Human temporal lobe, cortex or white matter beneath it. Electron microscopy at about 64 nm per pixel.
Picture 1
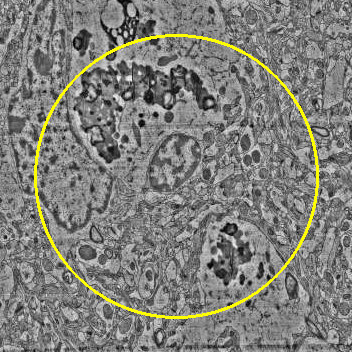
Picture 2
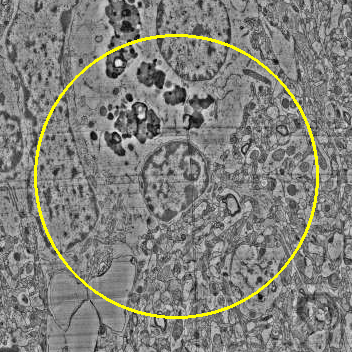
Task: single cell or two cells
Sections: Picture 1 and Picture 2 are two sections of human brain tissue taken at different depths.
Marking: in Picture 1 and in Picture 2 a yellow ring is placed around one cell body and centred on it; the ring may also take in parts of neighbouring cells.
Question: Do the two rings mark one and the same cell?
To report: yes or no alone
yes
